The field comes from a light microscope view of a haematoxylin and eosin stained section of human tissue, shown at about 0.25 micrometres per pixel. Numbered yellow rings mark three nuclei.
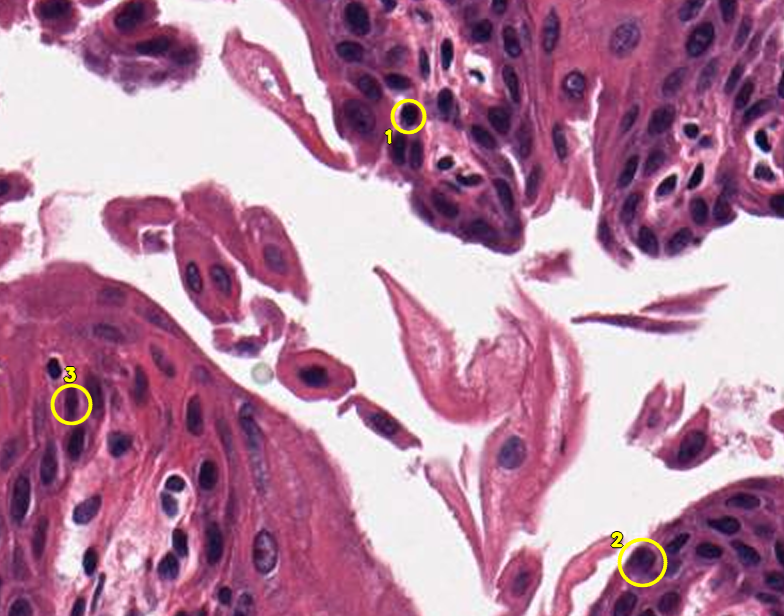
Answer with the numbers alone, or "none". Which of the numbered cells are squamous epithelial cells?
2, 3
